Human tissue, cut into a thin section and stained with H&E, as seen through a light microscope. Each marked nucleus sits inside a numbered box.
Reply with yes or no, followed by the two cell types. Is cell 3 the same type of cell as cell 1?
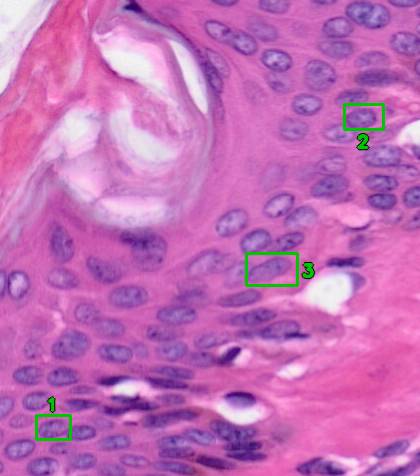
No, cell 3 is a basal keratinocyte and cell 1 is a suprabasal keratinocyte.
